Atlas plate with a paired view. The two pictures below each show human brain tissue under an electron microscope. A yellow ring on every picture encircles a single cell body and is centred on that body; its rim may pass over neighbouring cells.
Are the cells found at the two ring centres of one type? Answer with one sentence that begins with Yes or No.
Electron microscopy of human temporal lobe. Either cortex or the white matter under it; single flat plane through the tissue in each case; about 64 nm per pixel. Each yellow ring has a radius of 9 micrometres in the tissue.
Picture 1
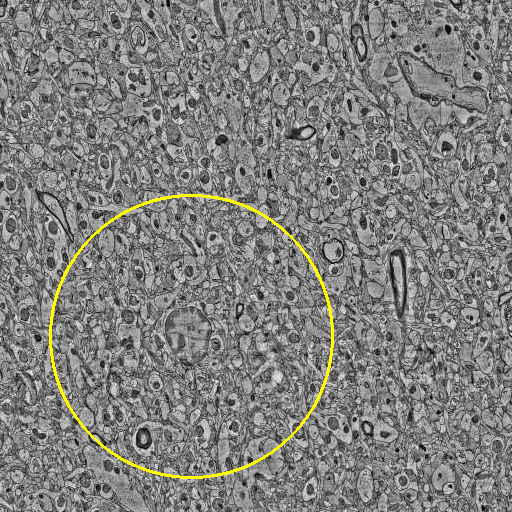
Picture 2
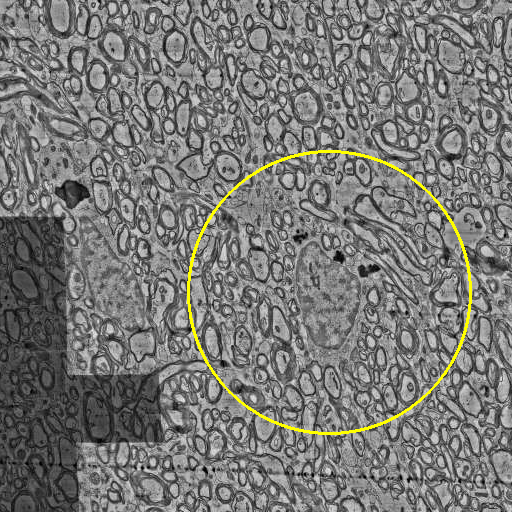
No, the two cells lying at the centres of the rings are of two types.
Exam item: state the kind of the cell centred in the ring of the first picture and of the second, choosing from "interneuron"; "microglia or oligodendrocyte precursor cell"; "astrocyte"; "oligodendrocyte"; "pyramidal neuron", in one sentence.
The first picture shows a microglial cell or oligodendrocyte precursor cell at the ring centre and the second shows an oligodendrocyte.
